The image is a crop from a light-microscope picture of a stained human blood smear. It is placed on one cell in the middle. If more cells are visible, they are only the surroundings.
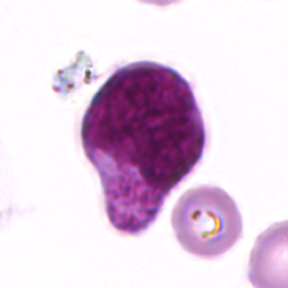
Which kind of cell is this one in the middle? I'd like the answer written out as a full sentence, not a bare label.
The cell that lies at the centre of the crop is an atypical promyelocyte.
